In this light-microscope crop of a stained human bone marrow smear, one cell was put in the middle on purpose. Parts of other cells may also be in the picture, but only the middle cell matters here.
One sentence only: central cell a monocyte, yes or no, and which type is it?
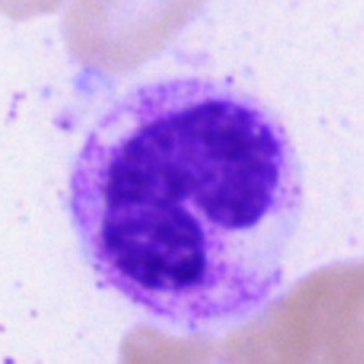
No, this one is a band neutrophil; it is not a monocyte.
